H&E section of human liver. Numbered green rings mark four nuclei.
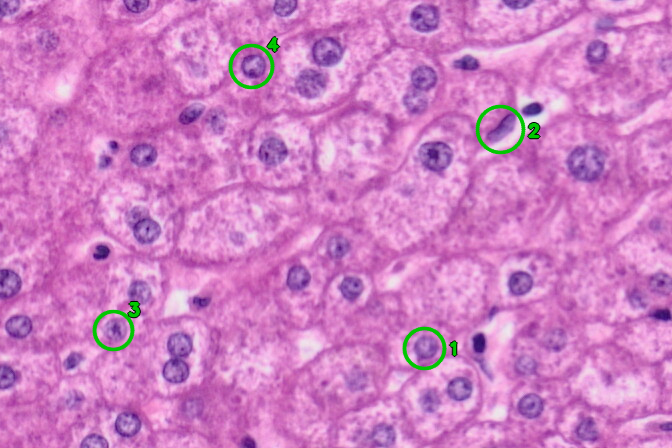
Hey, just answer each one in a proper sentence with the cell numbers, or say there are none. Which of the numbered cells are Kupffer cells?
None but cell 2 among the numbered cells is a Kupffer cell.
